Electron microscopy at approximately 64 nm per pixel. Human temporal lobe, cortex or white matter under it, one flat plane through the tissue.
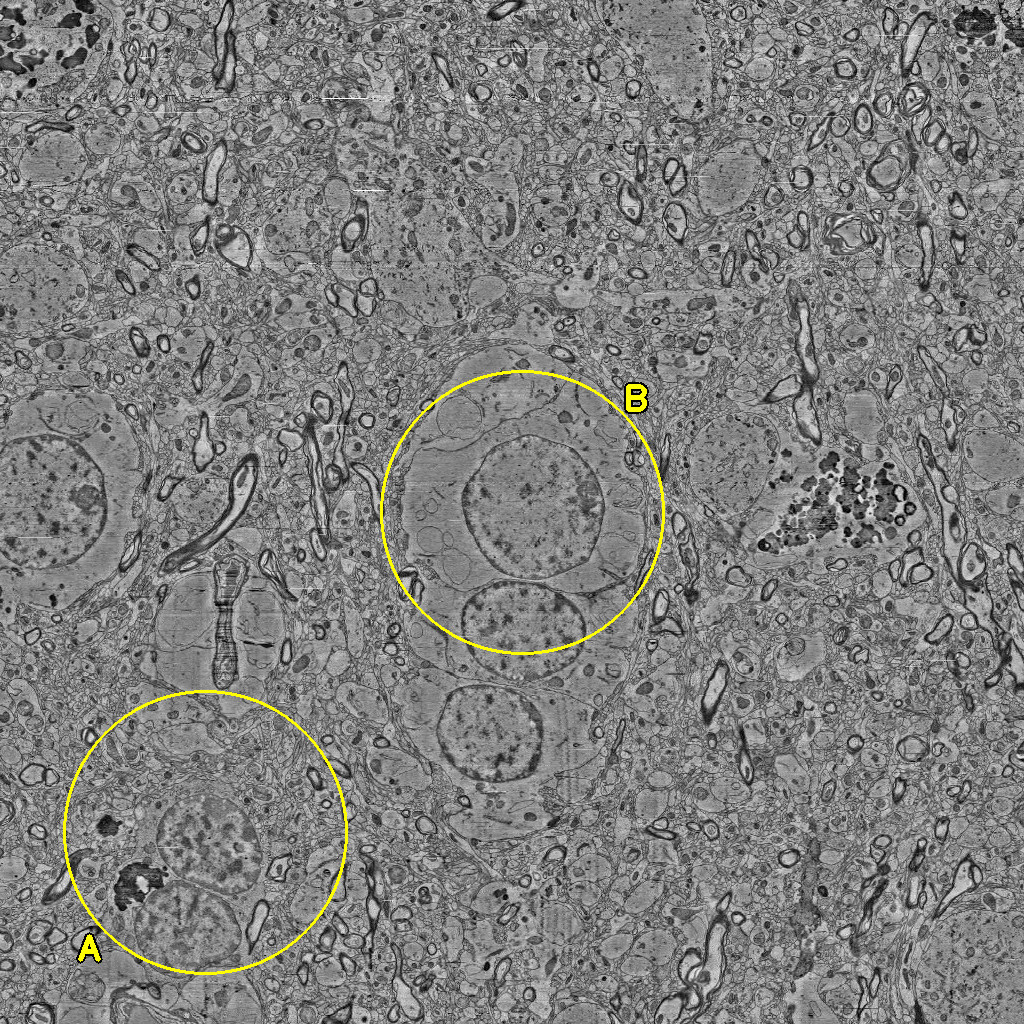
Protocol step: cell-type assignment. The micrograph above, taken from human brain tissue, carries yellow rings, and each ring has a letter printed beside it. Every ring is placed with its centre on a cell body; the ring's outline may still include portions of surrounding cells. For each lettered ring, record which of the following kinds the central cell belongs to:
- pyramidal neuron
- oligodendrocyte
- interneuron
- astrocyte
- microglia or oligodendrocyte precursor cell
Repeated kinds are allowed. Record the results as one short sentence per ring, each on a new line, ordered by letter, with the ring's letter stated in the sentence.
In ring A, the central cell is an oligodendrocyte.
In ring B, the central cell is an astrocyte.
